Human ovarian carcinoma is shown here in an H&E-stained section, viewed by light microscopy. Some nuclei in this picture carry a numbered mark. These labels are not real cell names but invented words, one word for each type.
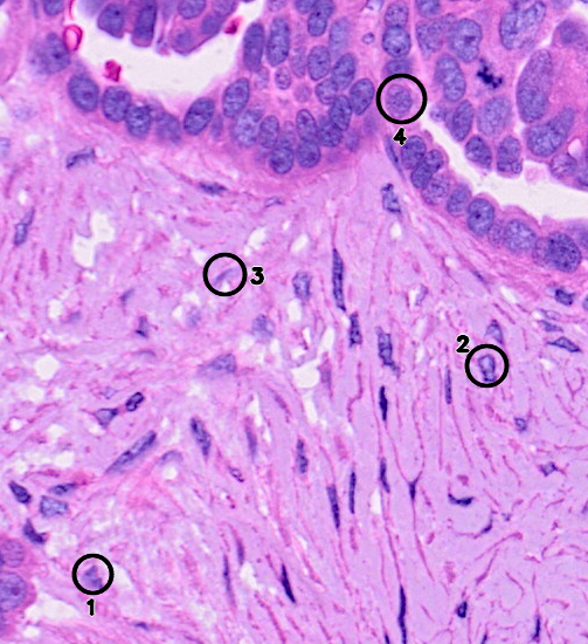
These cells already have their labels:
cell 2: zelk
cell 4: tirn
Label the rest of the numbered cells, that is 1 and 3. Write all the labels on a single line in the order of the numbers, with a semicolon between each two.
zelk; zelk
